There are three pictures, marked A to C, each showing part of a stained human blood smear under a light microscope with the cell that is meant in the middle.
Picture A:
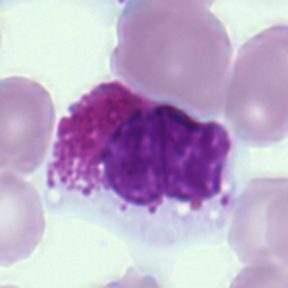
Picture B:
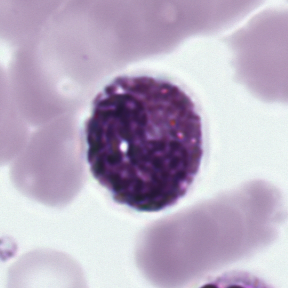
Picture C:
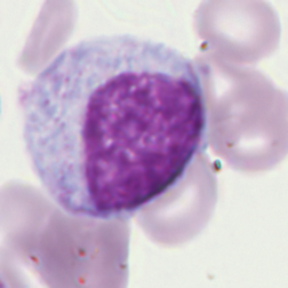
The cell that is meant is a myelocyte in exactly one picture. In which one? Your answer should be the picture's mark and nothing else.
C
